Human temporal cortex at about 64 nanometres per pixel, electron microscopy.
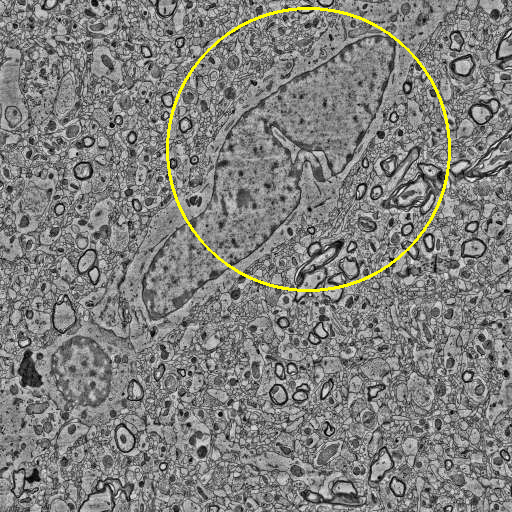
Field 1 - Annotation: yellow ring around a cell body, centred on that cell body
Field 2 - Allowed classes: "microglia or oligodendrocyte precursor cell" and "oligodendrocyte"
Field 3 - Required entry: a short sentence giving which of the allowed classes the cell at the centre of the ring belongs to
The centred cell is a microglial cell or oligodendrocyte precursor cell.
